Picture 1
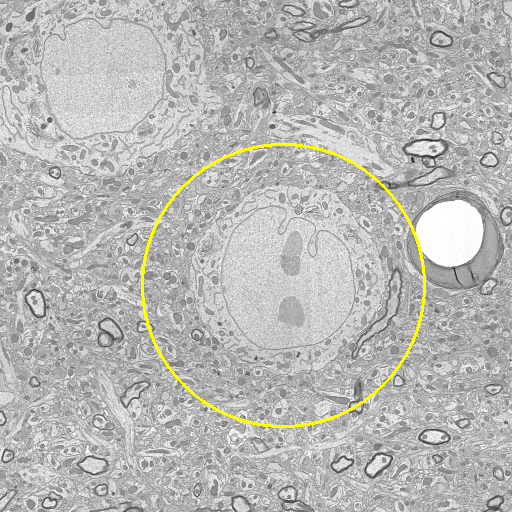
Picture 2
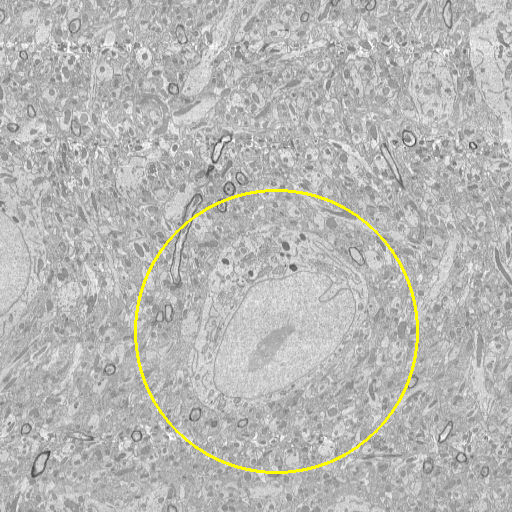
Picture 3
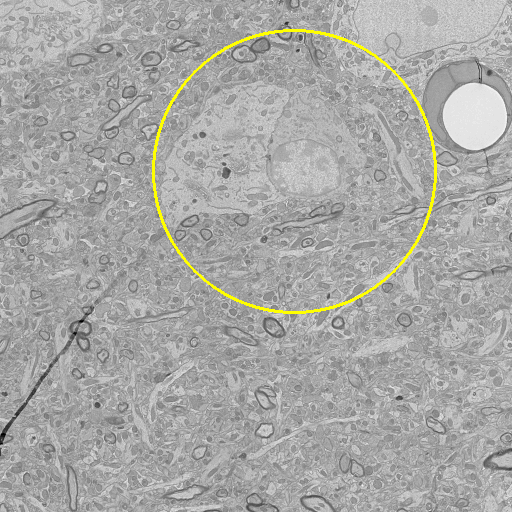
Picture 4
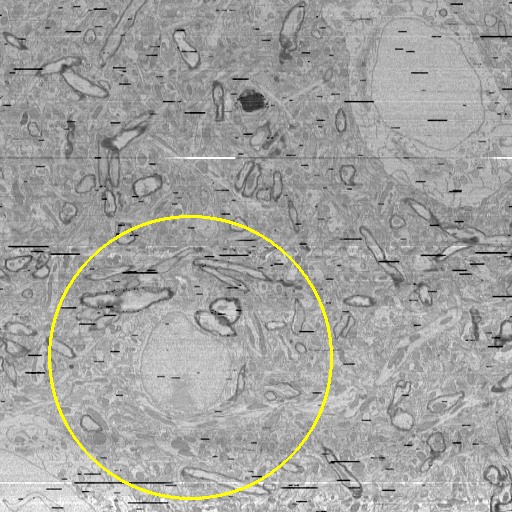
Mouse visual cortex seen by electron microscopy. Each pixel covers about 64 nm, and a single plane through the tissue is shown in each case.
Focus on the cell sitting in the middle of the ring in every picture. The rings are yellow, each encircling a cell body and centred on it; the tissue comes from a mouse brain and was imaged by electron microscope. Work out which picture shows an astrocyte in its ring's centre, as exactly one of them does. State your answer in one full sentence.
In picture 4, the ring is centred on the cell in question.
